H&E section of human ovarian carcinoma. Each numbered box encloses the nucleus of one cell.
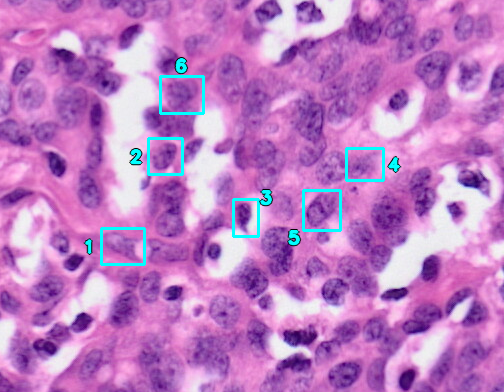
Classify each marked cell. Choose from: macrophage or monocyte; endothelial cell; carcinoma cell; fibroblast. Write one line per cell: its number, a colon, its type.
1: endothelial cell
2: macrophage or monocyte
3: carcinoma cell
4: carcinoma cell
5: carcinoma cell
6: carcinoma cell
